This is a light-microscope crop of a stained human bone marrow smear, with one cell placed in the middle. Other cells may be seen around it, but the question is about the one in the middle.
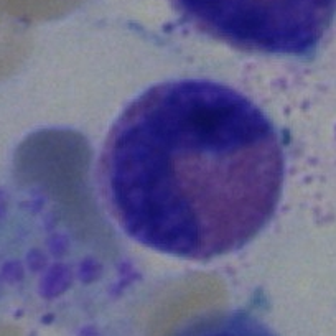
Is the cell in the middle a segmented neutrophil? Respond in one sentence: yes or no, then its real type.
No, not a segmented neutrophil here; the centered cell is an eosinophil.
